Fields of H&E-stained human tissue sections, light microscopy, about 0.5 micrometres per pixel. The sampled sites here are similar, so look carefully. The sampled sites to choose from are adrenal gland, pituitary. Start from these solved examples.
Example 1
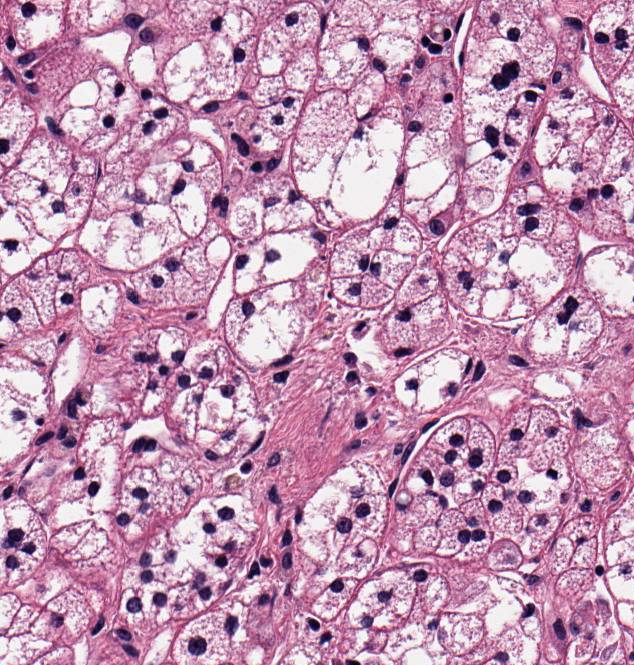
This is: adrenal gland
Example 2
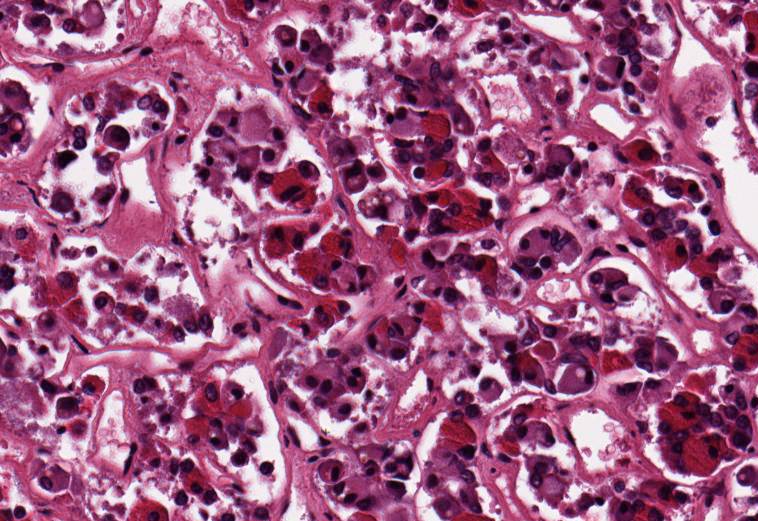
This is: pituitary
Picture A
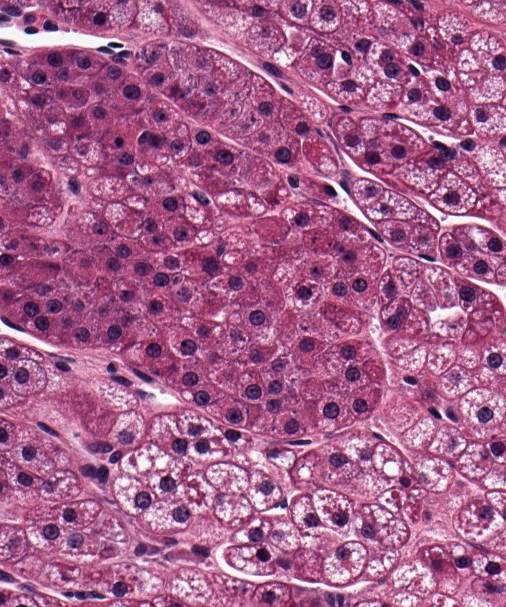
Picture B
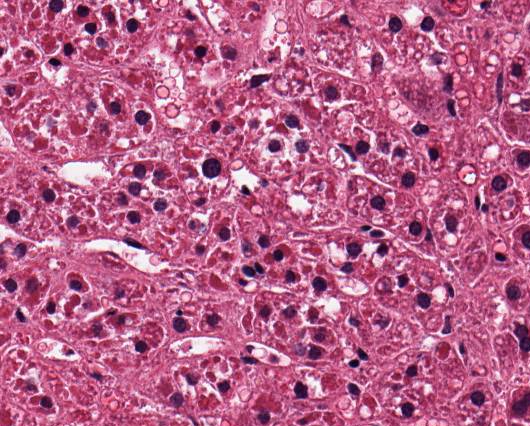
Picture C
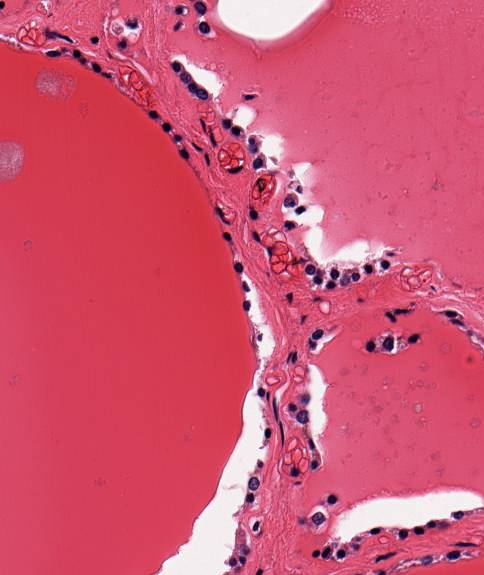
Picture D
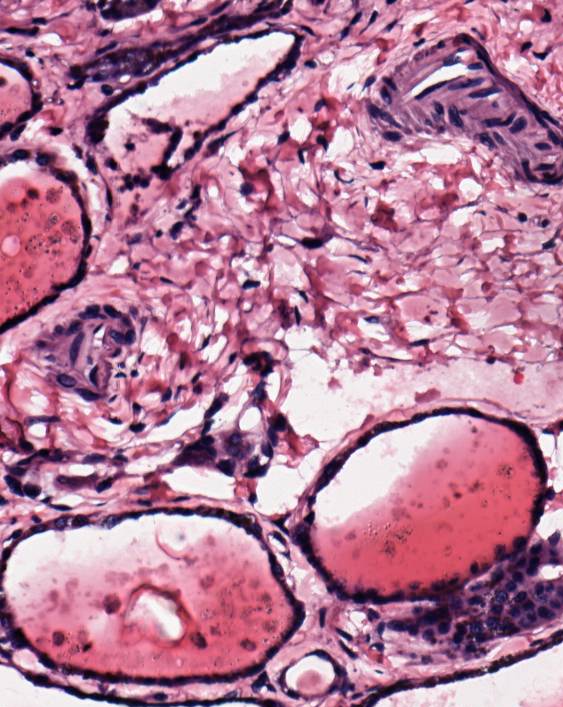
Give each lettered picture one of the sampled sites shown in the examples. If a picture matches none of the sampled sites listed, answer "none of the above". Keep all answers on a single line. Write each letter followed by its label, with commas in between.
A adrenal gland, B adrenal gland, C none of the above, D none of the above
